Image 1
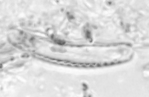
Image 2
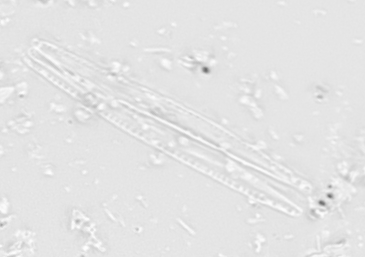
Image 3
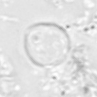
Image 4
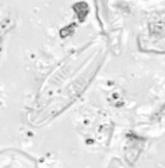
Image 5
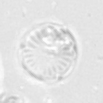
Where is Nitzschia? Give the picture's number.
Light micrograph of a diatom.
2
